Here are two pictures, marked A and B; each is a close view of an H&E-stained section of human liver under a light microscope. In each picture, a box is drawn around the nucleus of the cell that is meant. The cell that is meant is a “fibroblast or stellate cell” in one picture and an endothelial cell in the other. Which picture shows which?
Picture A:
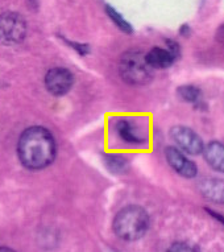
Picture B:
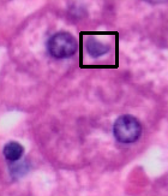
A: fibroblast or stellate cell
B: endothelial cell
